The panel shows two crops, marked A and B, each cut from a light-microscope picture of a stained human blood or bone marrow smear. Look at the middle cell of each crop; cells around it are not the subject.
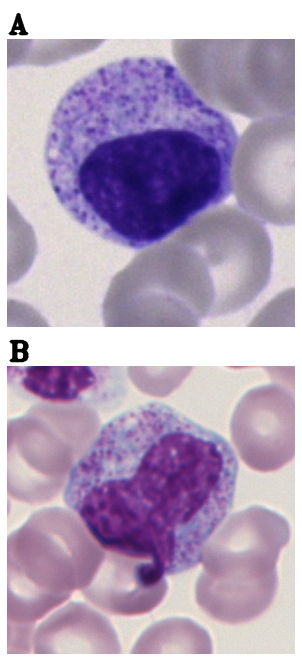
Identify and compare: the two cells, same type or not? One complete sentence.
Yes, both crops show myelocytes at their middles.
